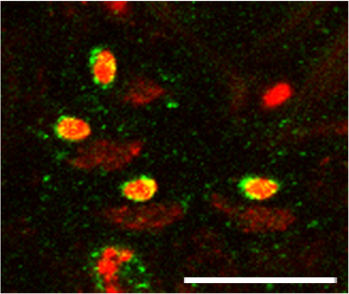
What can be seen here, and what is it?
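These are spermatids a little further on, each with a bright oval nucleus and, beside it, a fainter oval Nebenkern. The nuclei are compact and intensely red, and the green stain now lies over much of their interior as well as at their edge, so they look yellow-green and speckled. Next to several nuclei lie larger, dimmer, granular red oval bodies, the Nebenkerne. The background holds a fine scatter of small green dots.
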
